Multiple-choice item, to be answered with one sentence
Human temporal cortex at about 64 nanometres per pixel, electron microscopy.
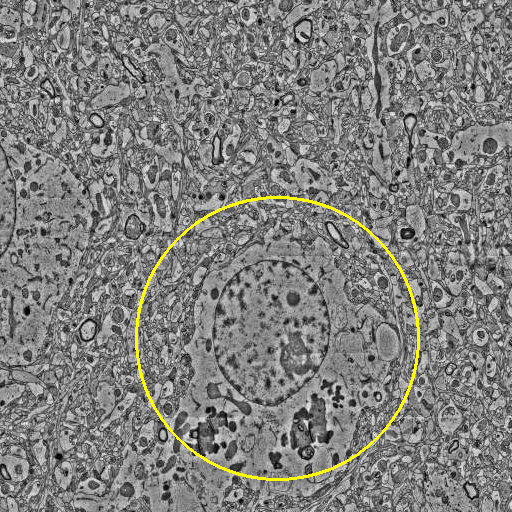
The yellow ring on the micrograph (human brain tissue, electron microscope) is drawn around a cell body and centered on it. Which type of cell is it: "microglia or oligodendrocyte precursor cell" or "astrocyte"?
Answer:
The ring is centered on an astrocyte.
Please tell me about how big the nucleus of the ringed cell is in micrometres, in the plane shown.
Approximately 9 by 8 micrometers in this plane.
